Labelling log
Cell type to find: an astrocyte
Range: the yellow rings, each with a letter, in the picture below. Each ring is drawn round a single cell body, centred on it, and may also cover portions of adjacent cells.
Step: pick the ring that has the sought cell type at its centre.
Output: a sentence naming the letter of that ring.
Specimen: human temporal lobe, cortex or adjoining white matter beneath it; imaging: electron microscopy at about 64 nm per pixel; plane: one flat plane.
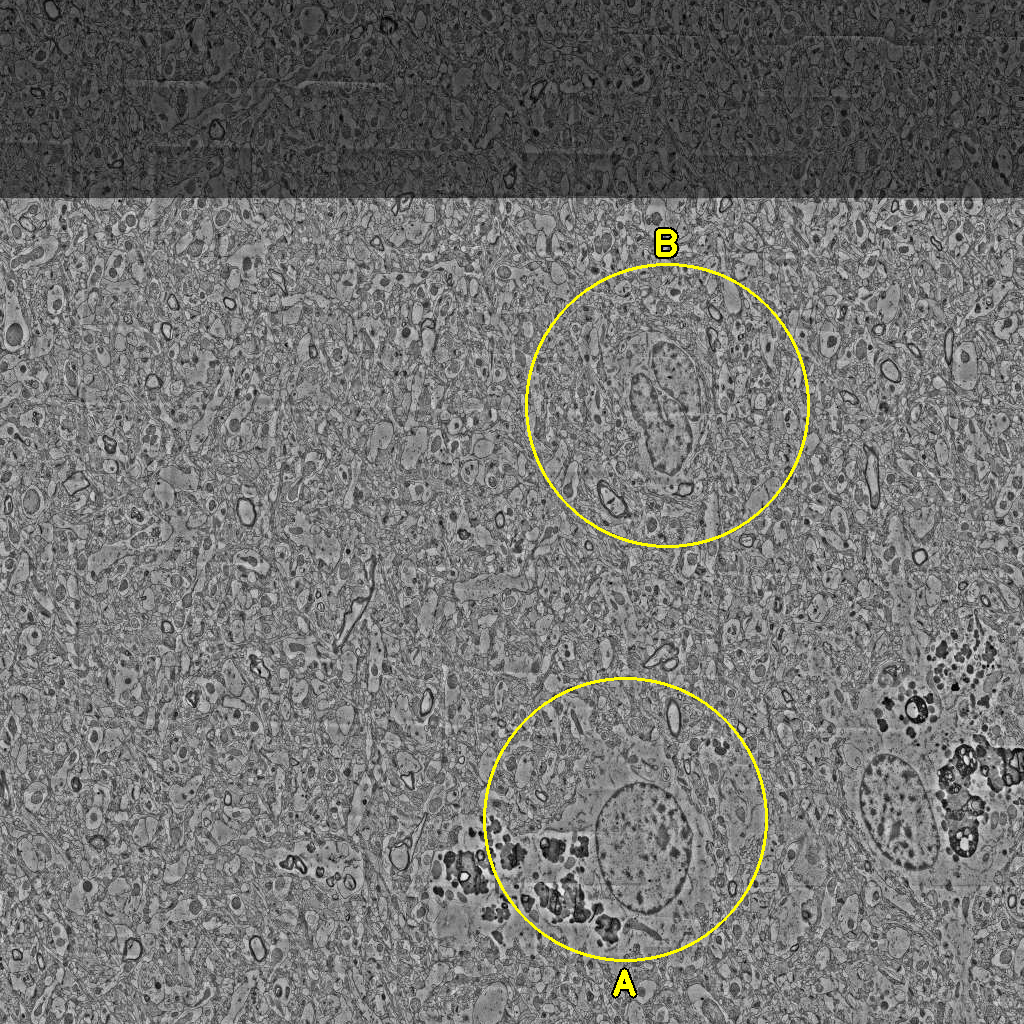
Ring A is the one with the cell asked for at its centre.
